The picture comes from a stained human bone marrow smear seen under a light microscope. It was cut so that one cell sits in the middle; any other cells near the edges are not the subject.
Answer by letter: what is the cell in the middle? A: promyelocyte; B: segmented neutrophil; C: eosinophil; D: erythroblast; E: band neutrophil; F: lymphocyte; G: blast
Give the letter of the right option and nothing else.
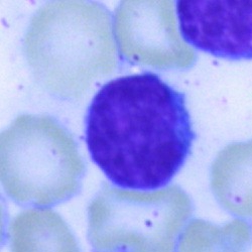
F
